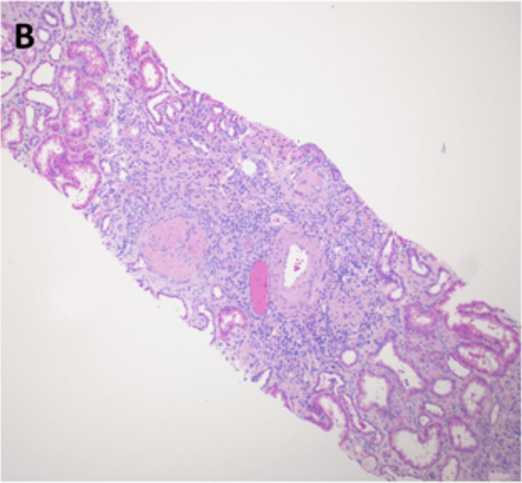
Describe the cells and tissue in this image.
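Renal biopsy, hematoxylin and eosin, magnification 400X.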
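This is kidney cortex in which the interstitium between tubules is widened and packed with small, dark, round inflammatory cell nuclei. The center of the field is a zone where tubules are sparse and separated by this cellular, scarred-looking tissue, with a glomerulus-sized pale round structure and a small vessel containing a red-pink cast or blood. Around the edges, tubules remain, many with dilated lumens and flattened or irregular lining cells. The inflammation sits mainly in the scarred middle rather than among the better-preserved tubules at the periphery.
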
